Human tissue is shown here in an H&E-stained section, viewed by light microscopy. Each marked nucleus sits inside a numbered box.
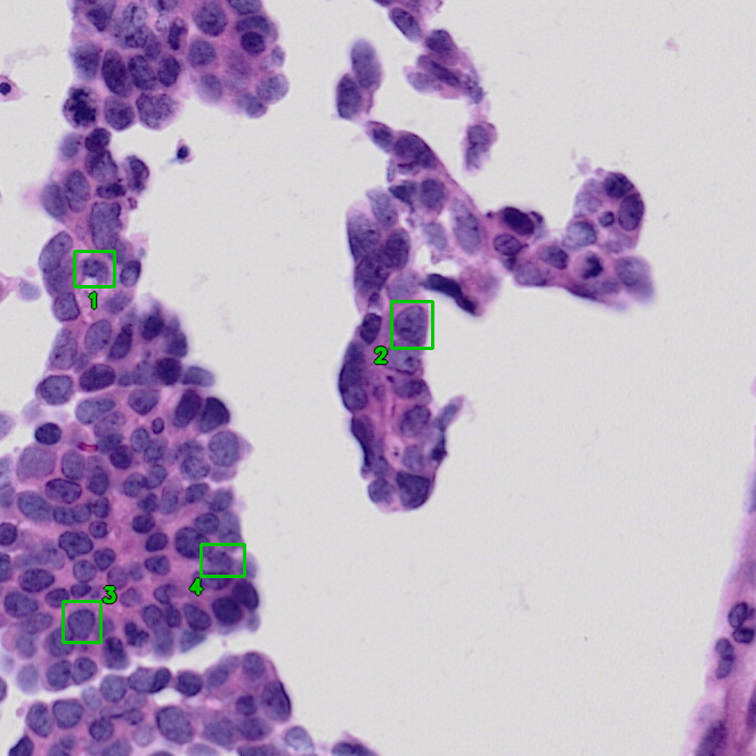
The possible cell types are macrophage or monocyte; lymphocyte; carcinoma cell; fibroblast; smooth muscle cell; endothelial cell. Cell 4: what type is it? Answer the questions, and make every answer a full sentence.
Denoted by the label 4 in the section is a carcinoma cell.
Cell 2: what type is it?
Cell 2, among those numbered, is a carcinoma cell.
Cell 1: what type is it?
Nucleus 1 in this section belongs to a macrophage or monocyte.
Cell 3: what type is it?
The cell that goes by number 3 is a carcinoma cell.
